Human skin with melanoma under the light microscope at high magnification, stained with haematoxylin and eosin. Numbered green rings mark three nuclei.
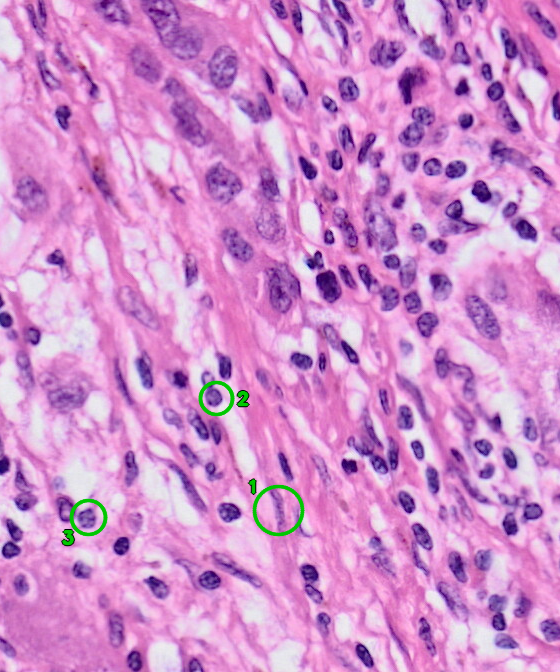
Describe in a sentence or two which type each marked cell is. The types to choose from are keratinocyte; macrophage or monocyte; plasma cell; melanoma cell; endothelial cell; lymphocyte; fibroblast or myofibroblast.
Cell 1 is a fibroblast or myofibroblast, cell 2 is a lymphocyte and cell 3 is a lymphocyte.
